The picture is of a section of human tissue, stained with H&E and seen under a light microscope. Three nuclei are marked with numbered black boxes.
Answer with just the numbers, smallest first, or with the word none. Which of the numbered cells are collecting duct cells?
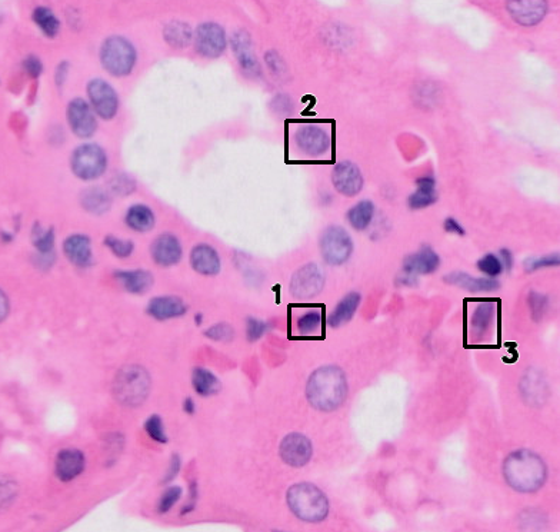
2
